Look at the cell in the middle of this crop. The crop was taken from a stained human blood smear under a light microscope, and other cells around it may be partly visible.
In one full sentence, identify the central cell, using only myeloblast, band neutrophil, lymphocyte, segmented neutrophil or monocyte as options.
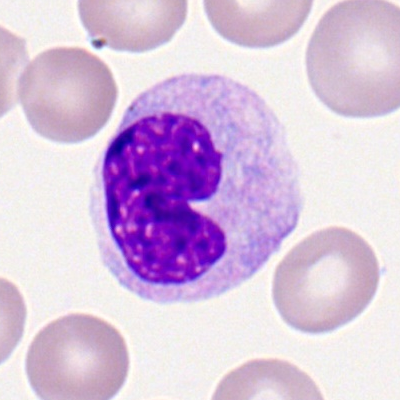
The cell in the exact centre of the crop is a monocyte.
